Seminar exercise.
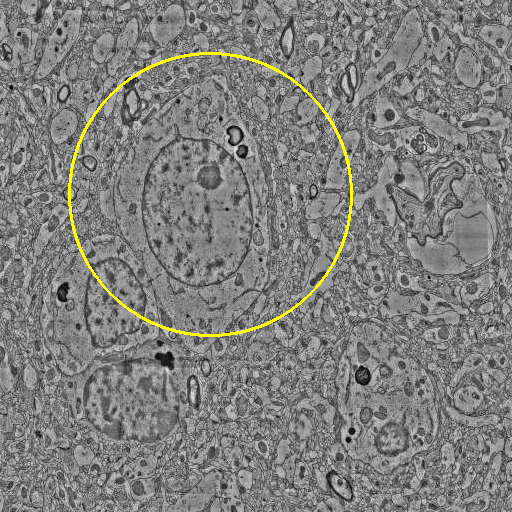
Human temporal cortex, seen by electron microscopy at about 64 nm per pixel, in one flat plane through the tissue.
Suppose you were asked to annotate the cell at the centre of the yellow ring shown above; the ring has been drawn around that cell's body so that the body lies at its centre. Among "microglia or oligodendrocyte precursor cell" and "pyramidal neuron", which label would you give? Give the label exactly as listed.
pyramidal neuron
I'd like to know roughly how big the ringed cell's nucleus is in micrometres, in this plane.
Approximately 10 x 7 micrometres in this plane.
